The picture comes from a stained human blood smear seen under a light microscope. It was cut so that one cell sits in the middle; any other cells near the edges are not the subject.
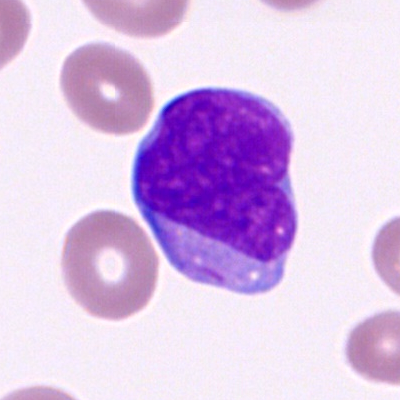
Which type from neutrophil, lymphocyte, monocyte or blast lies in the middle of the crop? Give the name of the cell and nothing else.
blast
